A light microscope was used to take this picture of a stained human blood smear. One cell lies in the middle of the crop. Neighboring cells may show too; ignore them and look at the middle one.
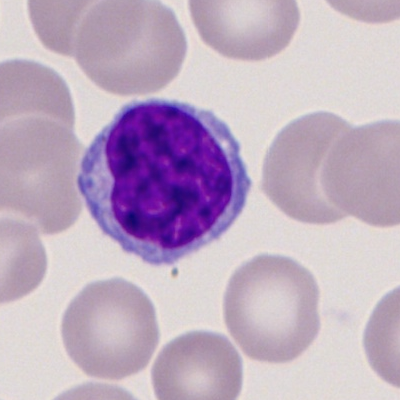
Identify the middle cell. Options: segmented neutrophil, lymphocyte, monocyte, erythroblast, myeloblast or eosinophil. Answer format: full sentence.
The identification for the central cell is a lymphocyte.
